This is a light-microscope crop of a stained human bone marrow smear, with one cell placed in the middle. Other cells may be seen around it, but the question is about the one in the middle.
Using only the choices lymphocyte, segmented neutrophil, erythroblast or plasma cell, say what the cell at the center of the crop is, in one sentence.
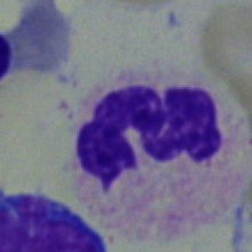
In the middle of this smear crop, the cell is a segmented neutrophil.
